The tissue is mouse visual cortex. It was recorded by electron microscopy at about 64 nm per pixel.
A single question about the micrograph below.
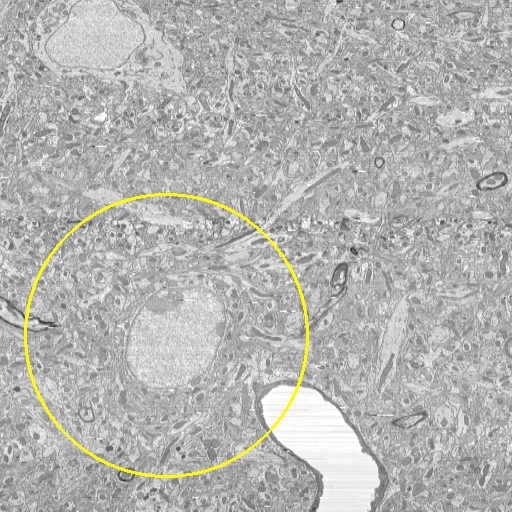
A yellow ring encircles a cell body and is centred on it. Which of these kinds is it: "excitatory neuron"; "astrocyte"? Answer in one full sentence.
The cell body at the centre of the yellow ring belongs to an astrocyte.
